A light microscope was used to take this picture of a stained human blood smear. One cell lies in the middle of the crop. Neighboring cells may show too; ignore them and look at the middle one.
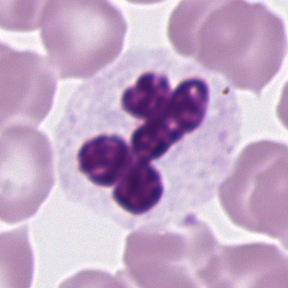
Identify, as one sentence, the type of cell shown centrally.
The cell at the middle of the frame should be recorded as a segmented neutrophil.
